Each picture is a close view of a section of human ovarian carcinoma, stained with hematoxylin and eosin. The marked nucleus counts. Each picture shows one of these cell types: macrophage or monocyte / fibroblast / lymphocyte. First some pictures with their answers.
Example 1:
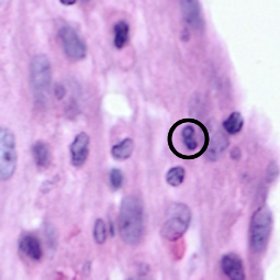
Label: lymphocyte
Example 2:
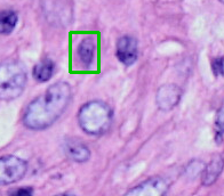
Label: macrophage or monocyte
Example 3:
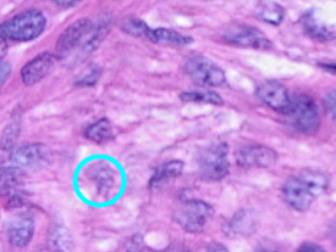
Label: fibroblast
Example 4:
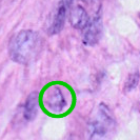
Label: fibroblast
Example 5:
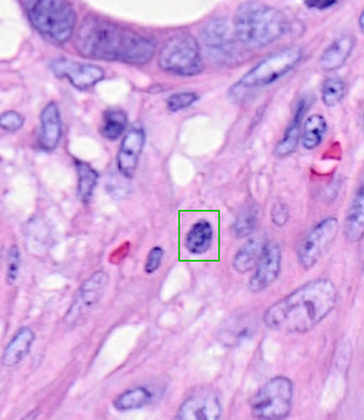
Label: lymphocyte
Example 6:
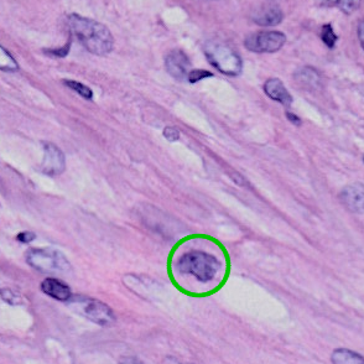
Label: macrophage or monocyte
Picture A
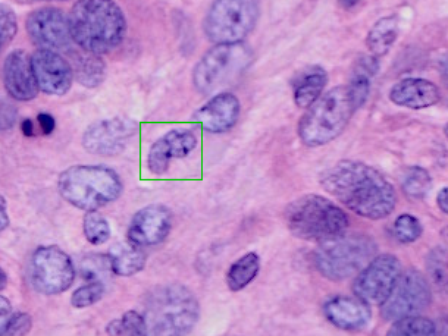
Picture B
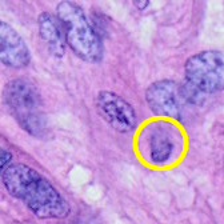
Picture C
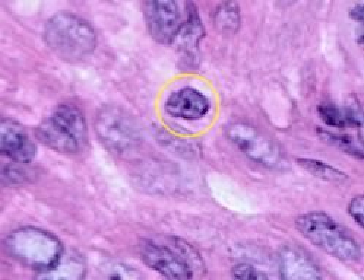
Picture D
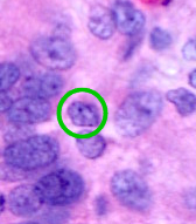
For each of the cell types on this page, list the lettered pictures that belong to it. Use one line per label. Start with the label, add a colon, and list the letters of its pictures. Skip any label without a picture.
macrophage or monocyte: A, B, D
lymphocyte: C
